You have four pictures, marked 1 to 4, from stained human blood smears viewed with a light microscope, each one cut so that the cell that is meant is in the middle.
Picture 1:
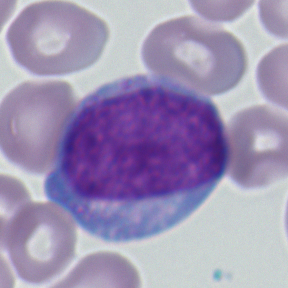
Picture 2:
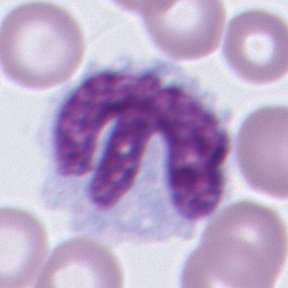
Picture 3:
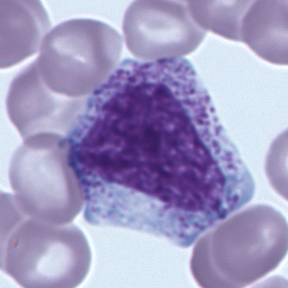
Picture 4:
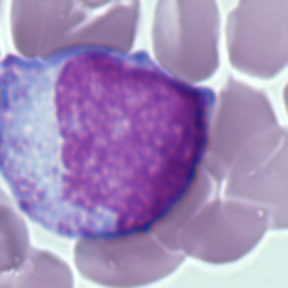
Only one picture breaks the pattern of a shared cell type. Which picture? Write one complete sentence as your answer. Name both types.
The different one is picture 2; it shows a monocyte, whereas all the others show promyelocytes.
